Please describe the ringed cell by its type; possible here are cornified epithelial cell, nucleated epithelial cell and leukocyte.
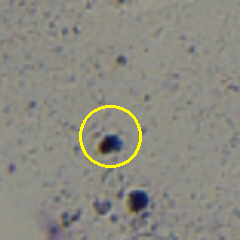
The yellow ring marks a leukocyte.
